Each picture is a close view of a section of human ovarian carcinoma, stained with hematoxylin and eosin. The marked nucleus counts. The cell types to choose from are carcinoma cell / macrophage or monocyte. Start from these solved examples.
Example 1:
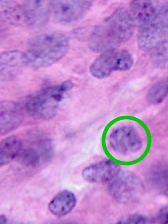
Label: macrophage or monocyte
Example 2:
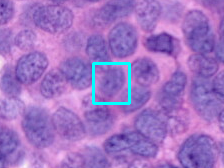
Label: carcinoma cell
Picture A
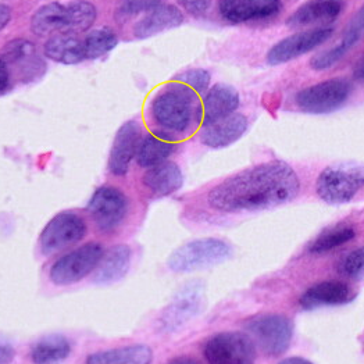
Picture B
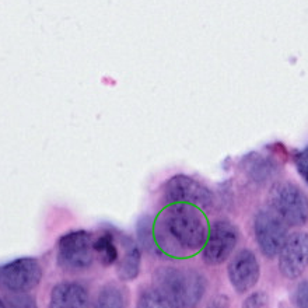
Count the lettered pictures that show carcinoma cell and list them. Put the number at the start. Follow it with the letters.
2: A, B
